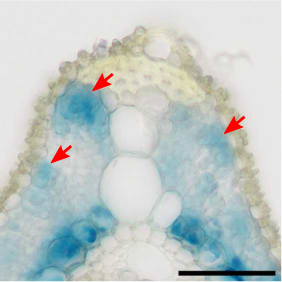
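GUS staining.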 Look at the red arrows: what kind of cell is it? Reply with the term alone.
mesophyll cells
